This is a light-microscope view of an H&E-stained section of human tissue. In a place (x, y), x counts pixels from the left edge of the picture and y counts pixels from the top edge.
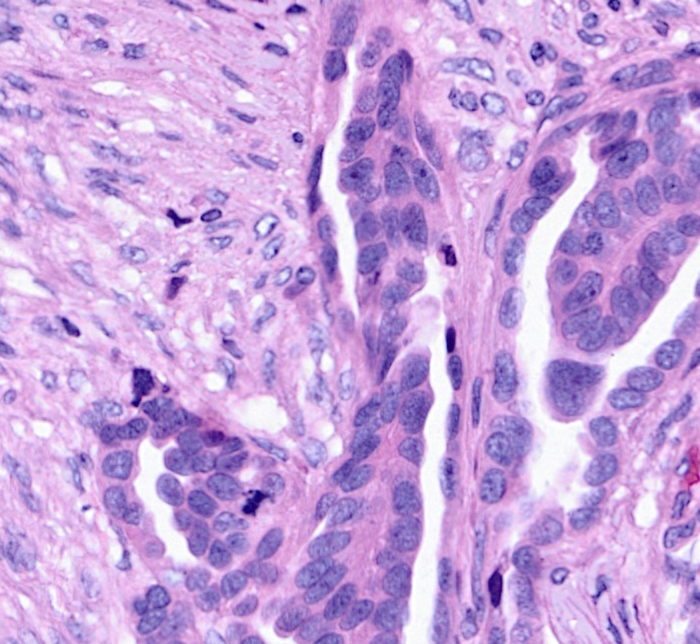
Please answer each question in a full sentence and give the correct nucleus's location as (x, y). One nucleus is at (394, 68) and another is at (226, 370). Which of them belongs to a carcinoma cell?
The nucleus contained in a carcinoma cell is the one at (394, 68).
